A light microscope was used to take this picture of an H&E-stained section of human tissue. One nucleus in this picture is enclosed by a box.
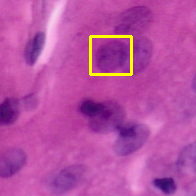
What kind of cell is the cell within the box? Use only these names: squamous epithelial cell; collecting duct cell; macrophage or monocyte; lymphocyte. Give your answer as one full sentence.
In this section of tissue, the cell within the box is a squamous epithelial cell.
